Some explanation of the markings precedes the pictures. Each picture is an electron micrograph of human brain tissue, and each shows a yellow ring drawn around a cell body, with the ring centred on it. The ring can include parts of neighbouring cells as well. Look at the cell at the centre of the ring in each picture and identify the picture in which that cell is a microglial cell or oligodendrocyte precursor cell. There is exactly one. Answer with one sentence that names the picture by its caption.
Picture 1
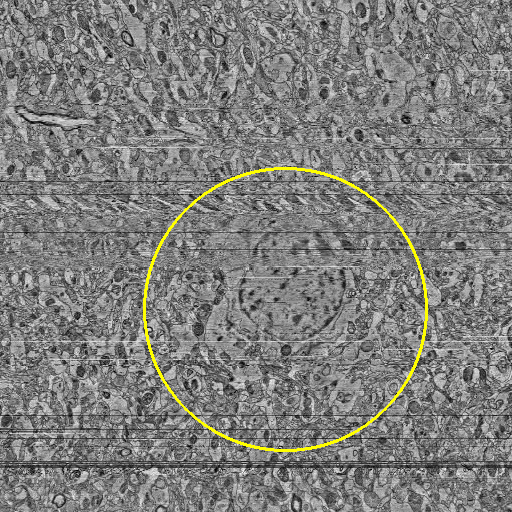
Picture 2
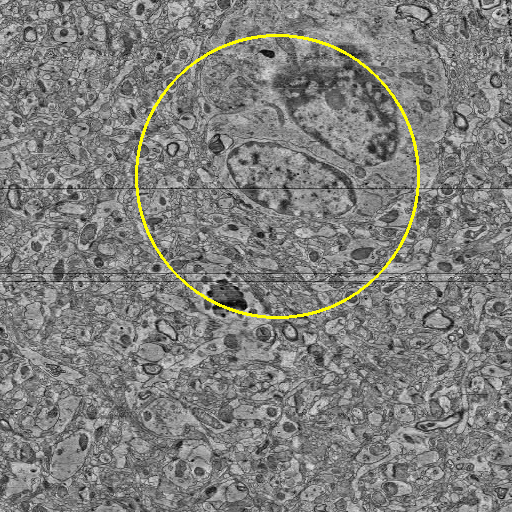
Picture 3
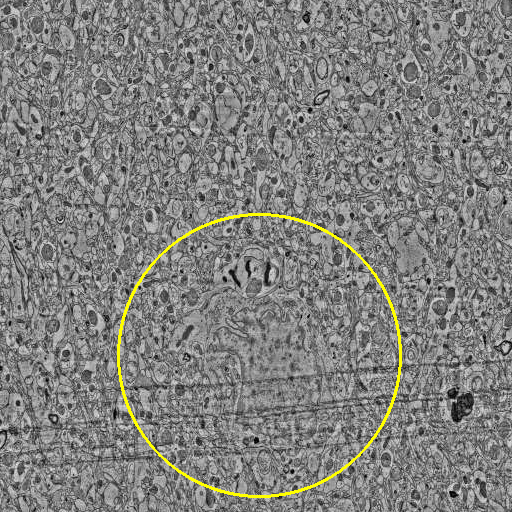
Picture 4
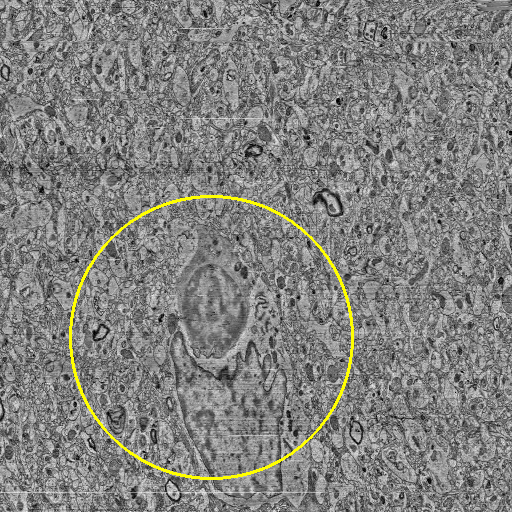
In Picture 2, the cell at the centre of the ring is of that kind.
